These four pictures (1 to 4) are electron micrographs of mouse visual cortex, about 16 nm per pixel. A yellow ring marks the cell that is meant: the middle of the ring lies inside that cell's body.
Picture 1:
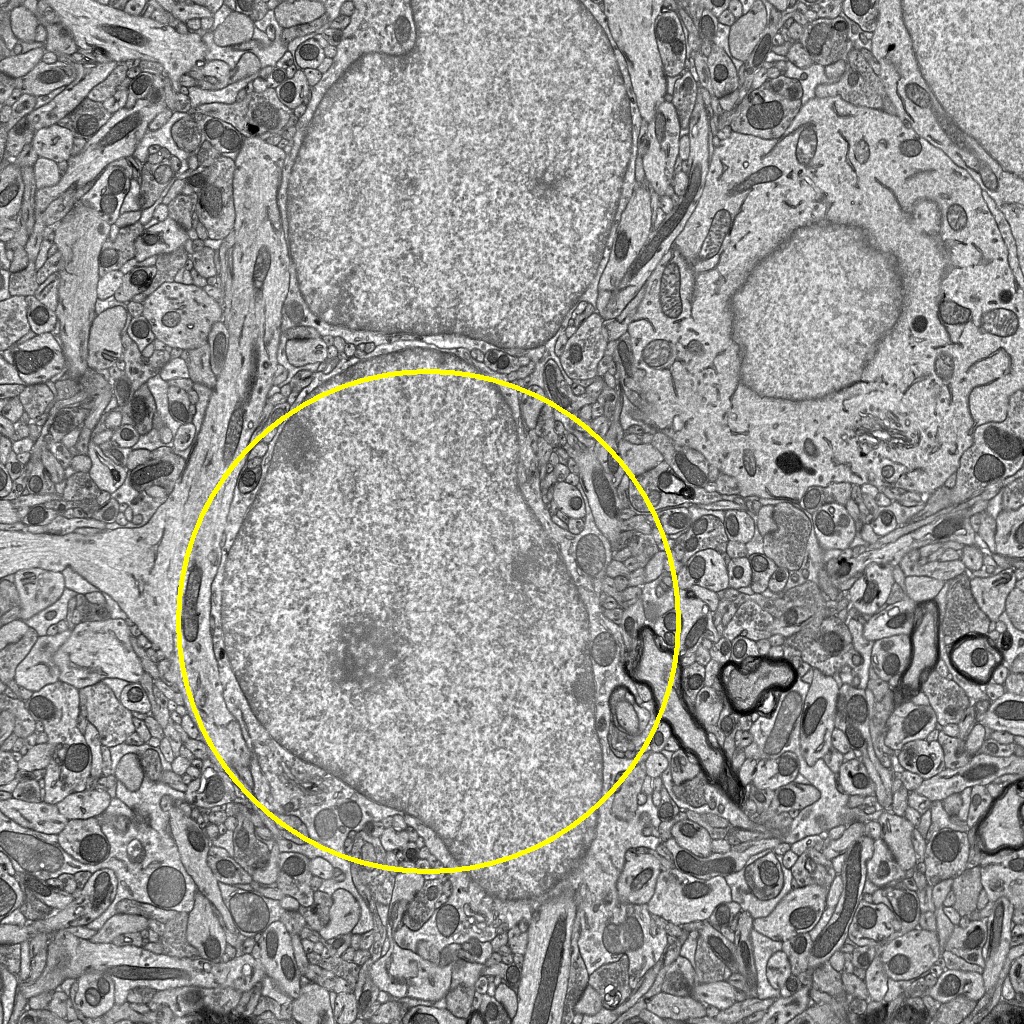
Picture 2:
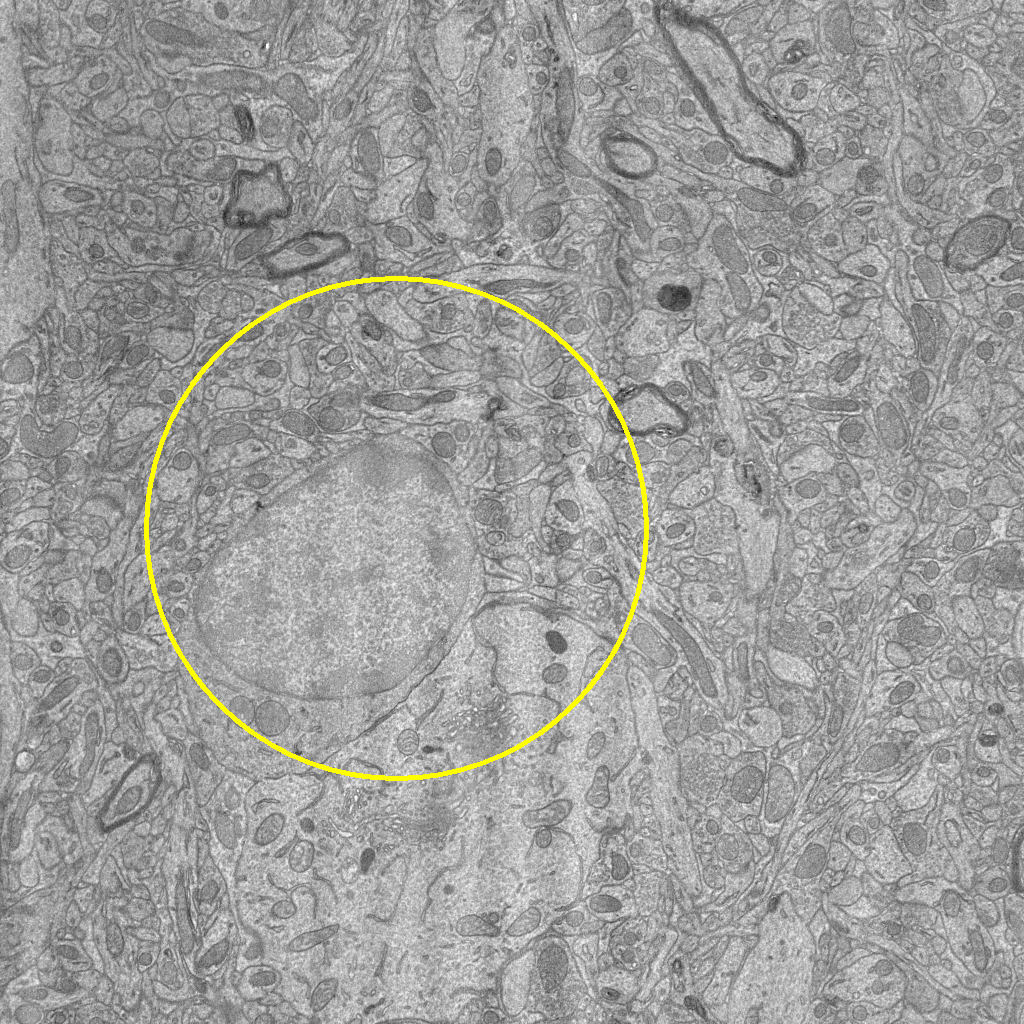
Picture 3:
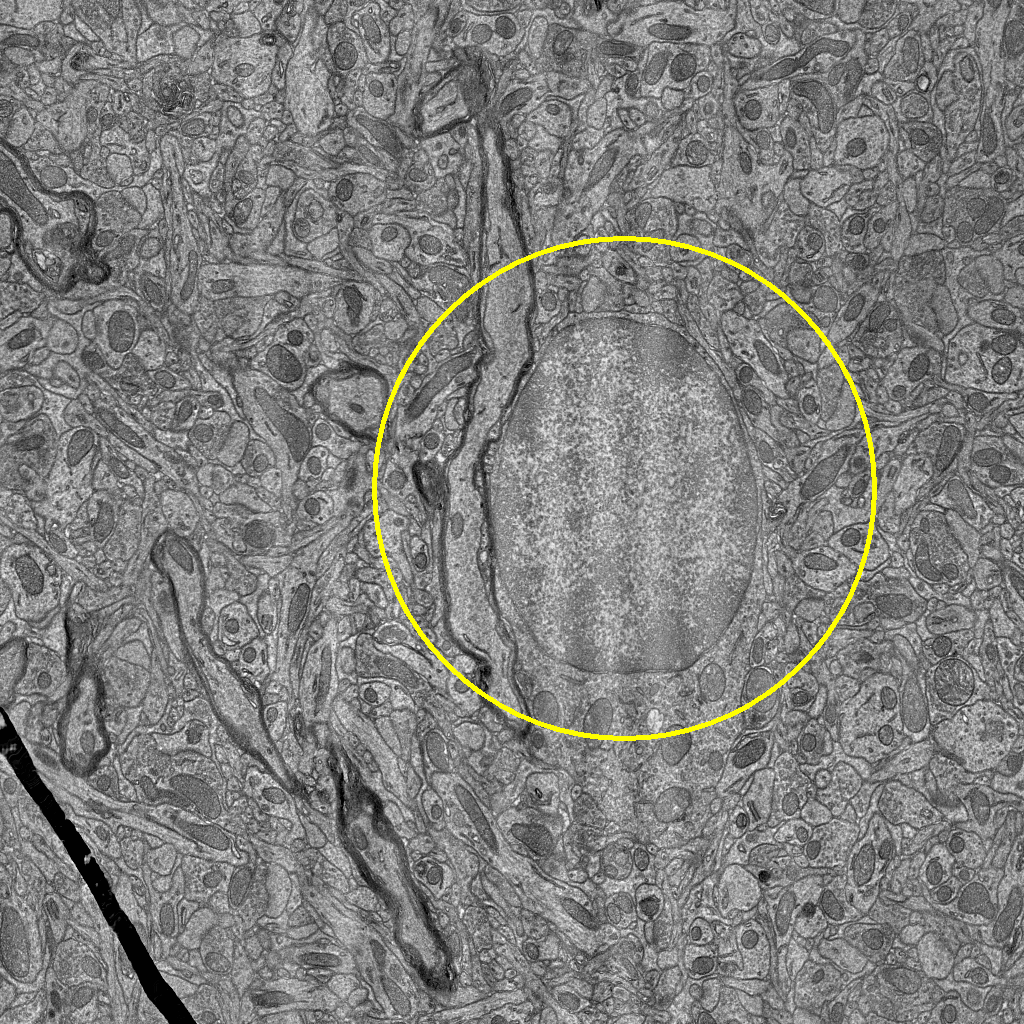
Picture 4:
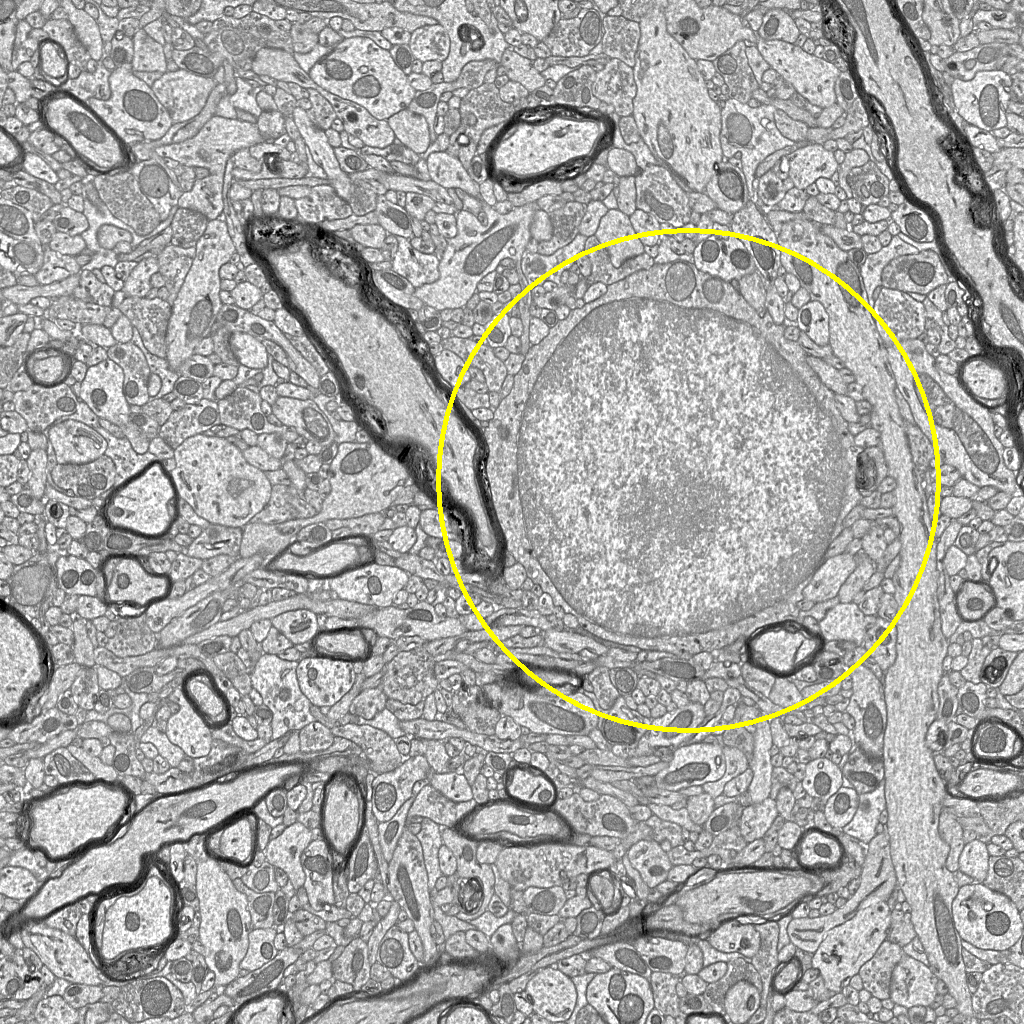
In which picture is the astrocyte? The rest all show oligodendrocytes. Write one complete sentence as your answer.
The picture with the astrocyte is 1.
